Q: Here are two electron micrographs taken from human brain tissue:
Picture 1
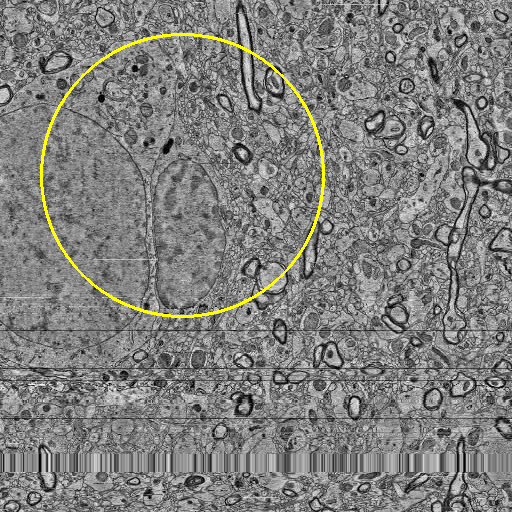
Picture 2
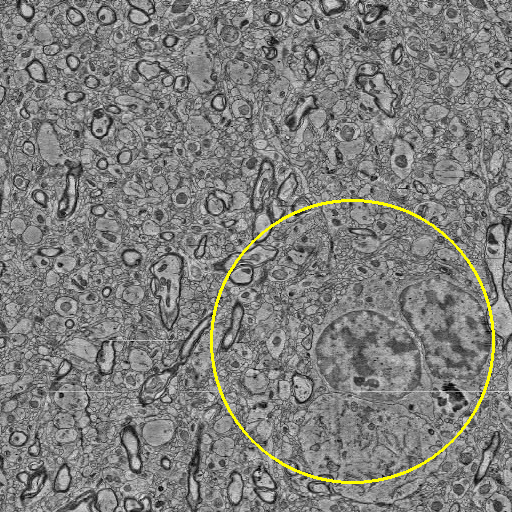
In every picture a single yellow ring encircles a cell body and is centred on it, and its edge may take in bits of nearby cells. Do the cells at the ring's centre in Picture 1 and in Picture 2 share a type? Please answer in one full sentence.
Yes, the cells at the ring's centre in Picture 1 and Picture 2 share a type.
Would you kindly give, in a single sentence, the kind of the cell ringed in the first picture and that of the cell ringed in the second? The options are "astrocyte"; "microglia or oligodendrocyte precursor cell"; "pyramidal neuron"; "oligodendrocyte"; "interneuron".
Each of the two pictures has an oligodendrocyte at the ring centre.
